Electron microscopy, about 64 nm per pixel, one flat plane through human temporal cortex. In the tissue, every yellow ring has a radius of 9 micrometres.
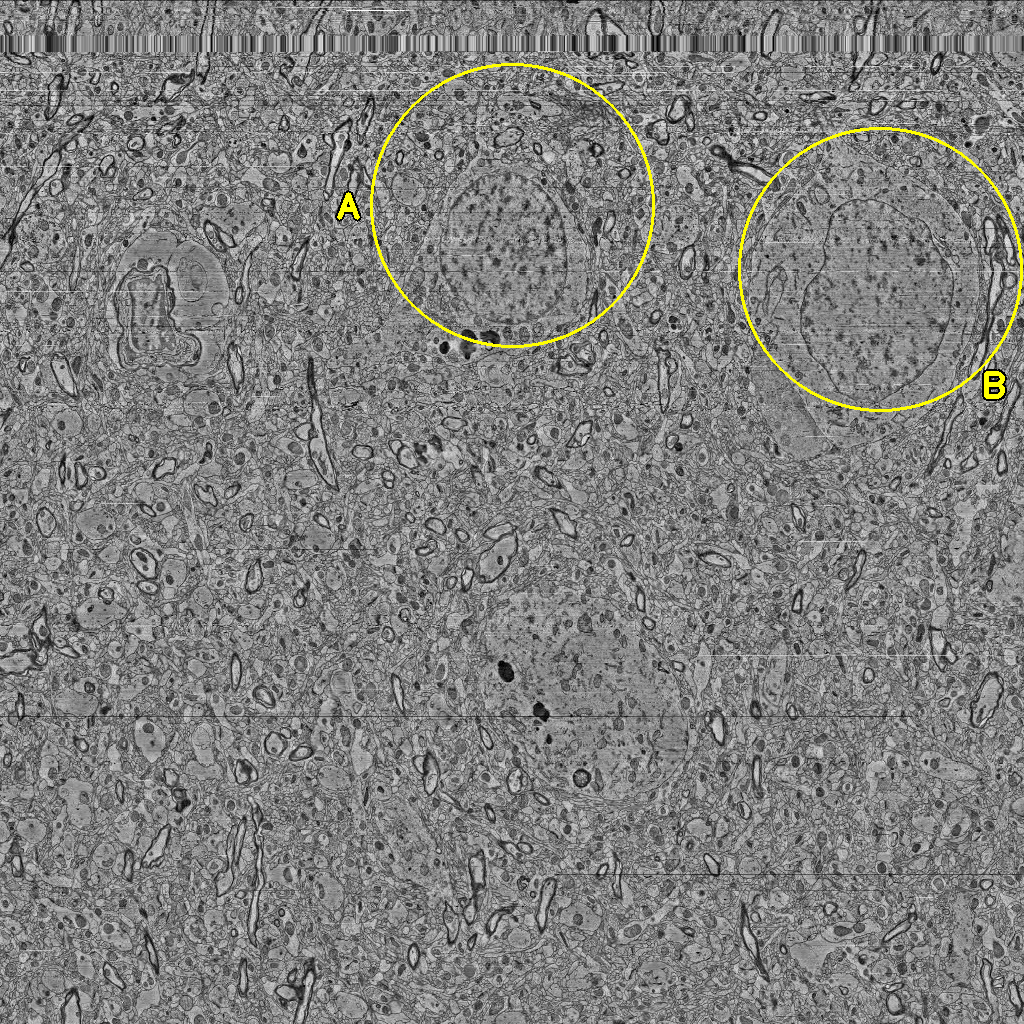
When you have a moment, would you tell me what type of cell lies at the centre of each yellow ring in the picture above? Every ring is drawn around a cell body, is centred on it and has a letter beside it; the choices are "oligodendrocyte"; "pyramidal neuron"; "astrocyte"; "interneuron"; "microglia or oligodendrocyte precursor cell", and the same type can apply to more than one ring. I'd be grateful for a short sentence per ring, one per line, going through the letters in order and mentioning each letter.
The cell at the centre of ring A is an interneuron.
The cell at the centre of ring B is a pyramidal neuron.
